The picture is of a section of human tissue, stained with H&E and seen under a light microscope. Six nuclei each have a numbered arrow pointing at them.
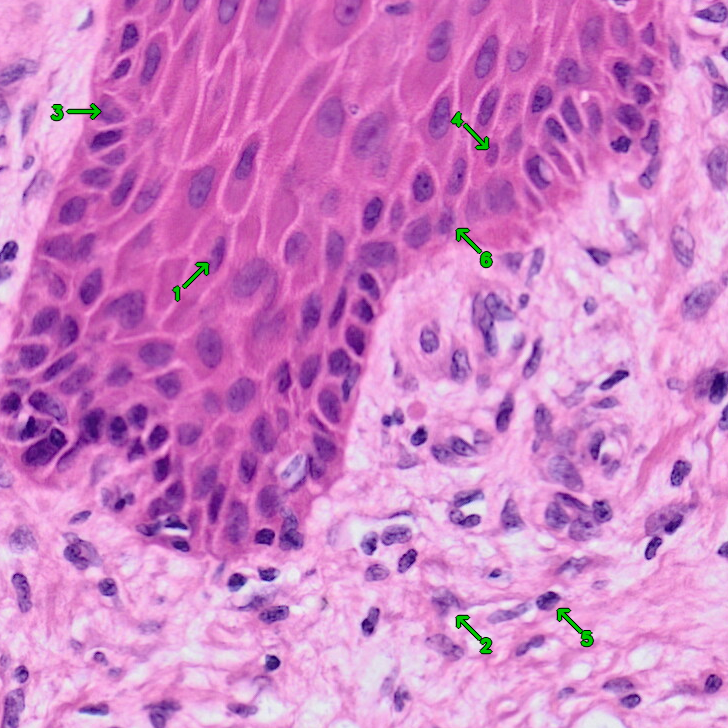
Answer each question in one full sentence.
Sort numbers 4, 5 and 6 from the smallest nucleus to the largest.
By area, going up from the smallest, they rank 4, 5, 6.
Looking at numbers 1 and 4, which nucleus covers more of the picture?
The larger nucleus is 1, at roughly 2 times the area of 4.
